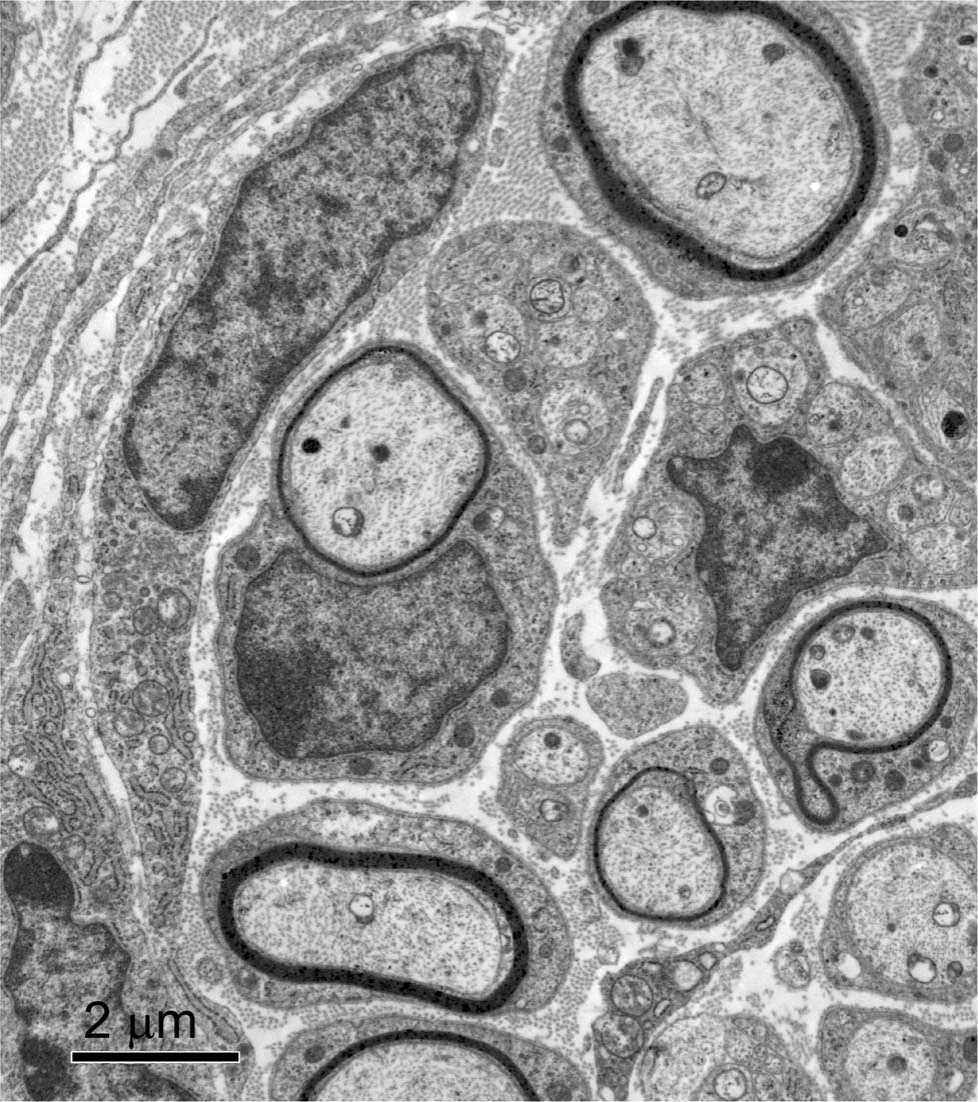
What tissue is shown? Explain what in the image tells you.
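Many round profiles of nerve fibers are cut in cross-section. Some fibers are encircled by thick dark rings. Bundles of fine fibrils fill the spaces between the fibers.
Nerve bundle.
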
